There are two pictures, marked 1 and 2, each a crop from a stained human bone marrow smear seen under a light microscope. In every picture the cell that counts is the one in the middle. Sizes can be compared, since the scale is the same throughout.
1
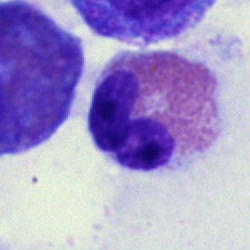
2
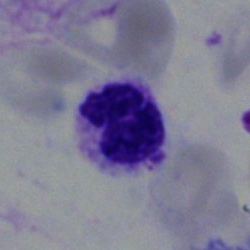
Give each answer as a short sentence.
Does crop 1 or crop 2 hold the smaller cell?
It is the cell in crop 2; the cell in crop 1 has about 2 times its area.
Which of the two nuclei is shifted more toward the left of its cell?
Seen within its cell, the nucleus in crop 1 lies further toward the left.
